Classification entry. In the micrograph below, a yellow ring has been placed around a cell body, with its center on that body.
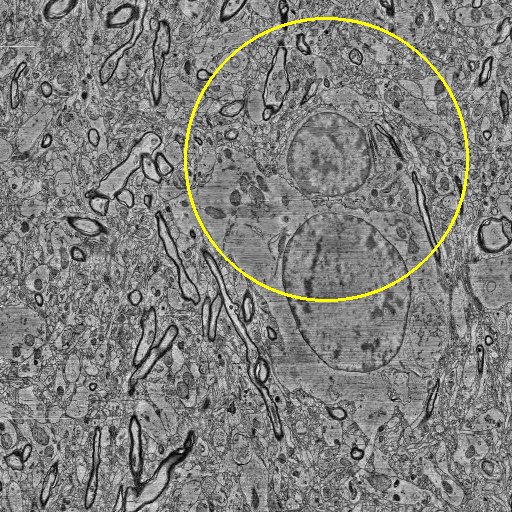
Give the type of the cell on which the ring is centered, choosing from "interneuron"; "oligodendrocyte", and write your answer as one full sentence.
The cell body at the center of the yellow ring belongs to an oligodendrocyte.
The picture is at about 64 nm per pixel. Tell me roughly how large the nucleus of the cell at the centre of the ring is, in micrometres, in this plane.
In this plane, approximately 6 micrometres across.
